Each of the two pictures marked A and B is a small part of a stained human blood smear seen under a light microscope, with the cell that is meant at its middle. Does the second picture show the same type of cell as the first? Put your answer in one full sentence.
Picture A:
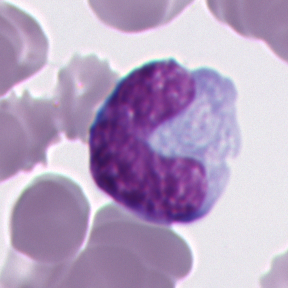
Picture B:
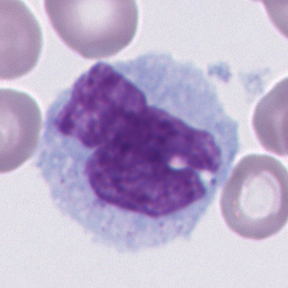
Yes, the two pictures both show monocytes.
